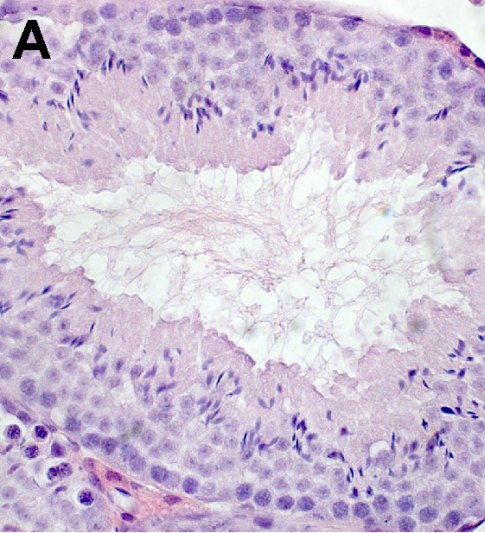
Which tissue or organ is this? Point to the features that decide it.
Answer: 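A rounded tubule cross-section bounded by a thin flat-celled wall. Many layers of round-nucleated cells stacked from the wall toward a central lumen. Small dark elongated heads lie near the lumen, with pale pink filaments filling the lumen. That points to this answer: testes.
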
